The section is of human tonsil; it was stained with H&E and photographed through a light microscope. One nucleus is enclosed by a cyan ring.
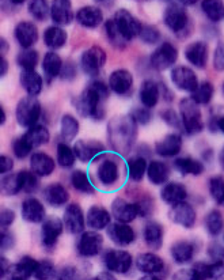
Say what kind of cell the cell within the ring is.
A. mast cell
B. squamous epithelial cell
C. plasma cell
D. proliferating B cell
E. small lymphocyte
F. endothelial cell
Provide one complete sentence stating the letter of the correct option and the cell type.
Option E is correct; the cell within the ring is a small lymphocyte.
